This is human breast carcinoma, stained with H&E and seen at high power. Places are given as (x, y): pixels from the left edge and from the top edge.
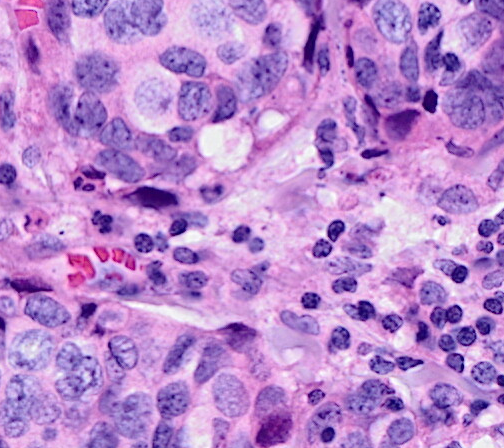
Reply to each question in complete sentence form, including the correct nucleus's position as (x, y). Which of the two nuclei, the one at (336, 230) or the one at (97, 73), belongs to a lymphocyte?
Between the two nuclei, the one sitting at (336, 230) belongs to a lymphocyte.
